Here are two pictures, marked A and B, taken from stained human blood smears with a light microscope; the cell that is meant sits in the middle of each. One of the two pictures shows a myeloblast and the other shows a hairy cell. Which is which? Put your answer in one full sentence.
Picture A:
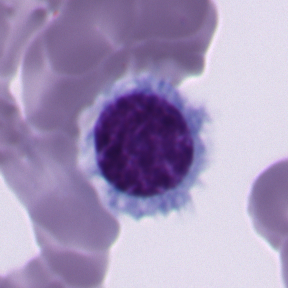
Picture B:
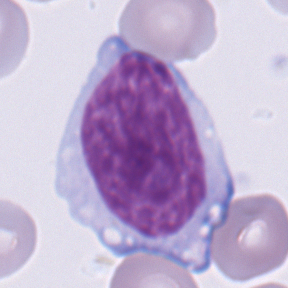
The cell in picture A is a hairy cell, and the one in picture B is a myeloblast.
